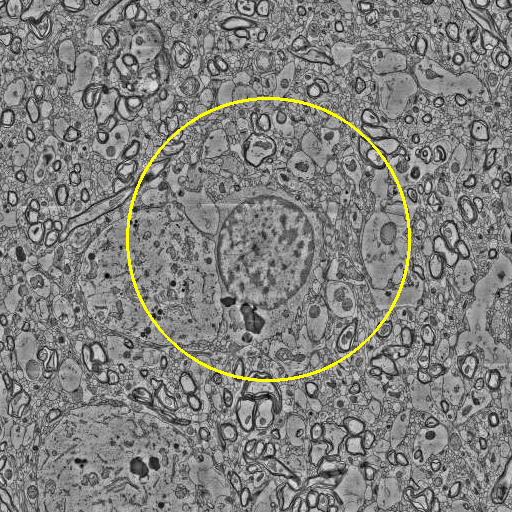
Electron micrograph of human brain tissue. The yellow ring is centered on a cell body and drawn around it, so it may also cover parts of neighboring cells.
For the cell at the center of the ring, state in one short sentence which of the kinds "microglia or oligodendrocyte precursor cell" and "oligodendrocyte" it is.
This ring is centered on an oligodendrocyte.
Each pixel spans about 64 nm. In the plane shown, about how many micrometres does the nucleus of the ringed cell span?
In this plane, roughly 7 micrometres across.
